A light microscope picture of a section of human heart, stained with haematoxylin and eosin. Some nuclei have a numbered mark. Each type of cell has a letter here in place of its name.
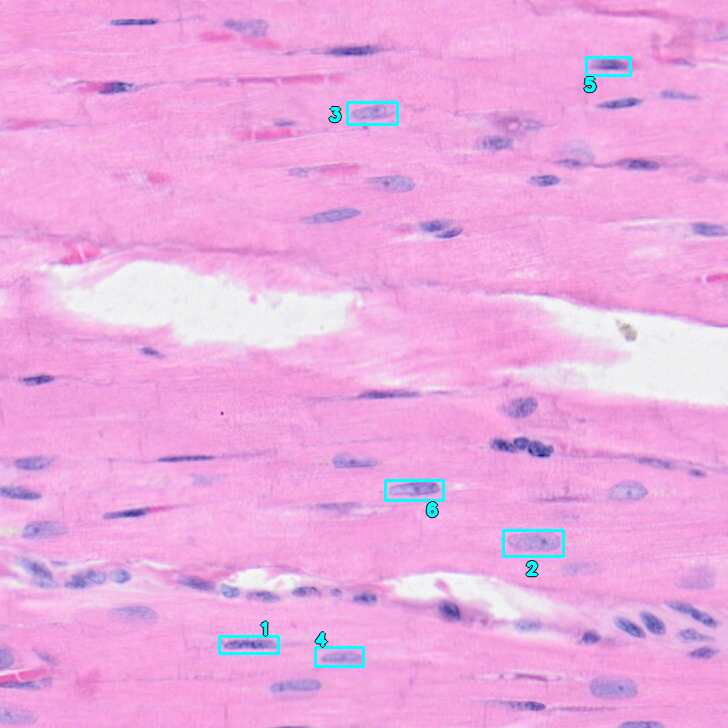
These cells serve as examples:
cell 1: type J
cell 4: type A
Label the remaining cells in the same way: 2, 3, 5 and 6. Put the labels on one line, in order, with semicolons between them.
type A; type A; type J; type A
